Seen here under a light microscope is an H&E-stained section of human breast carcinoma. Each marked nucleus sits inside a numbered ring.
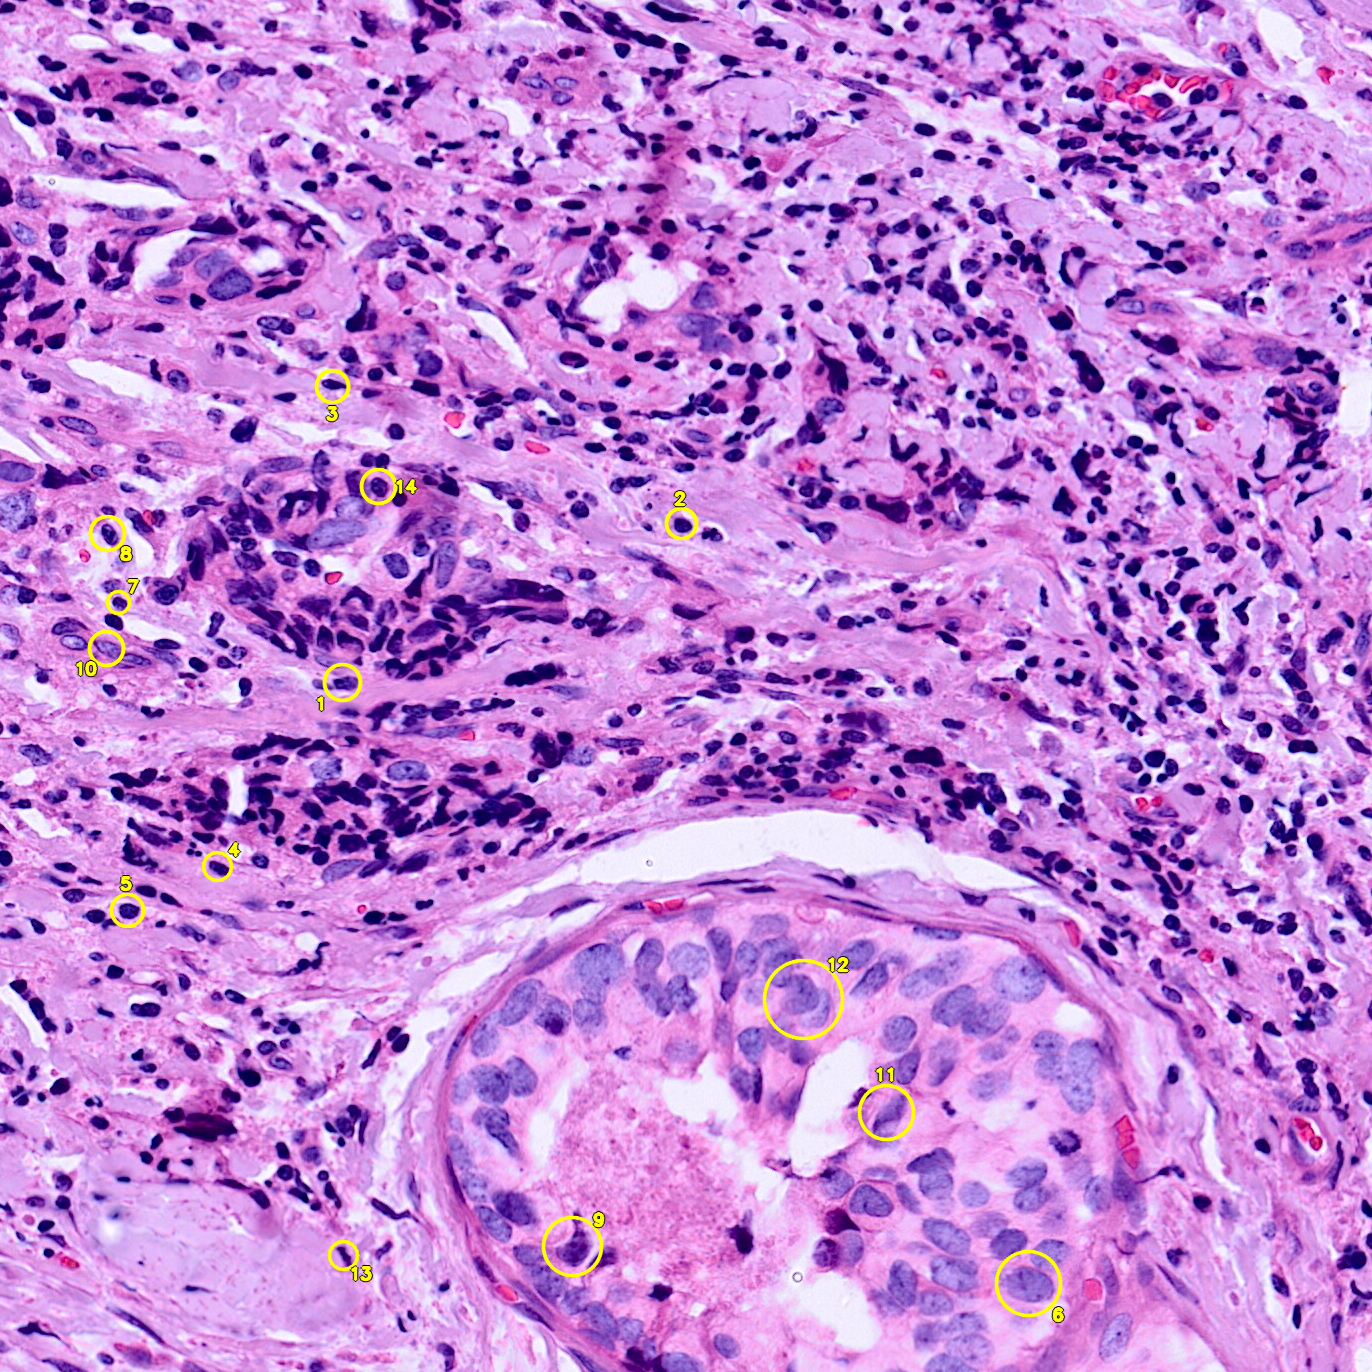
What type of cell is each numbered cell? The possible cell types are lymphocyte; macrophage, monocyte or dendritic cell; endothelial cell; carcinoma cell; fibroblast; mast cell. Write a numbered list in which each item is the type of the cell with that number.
1. lymphocyte
2. lymphocyte
3. lymphocyte
4. lymphocyte
5. lymphocyte
6. carcinoma cell
7. lymphocyte
8. lymphocyte
9. carcinoma cell
10. endothelial cell
11. carcinoma cell
12. carcinoma cell
13. fibroblast
14. lymphocyte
